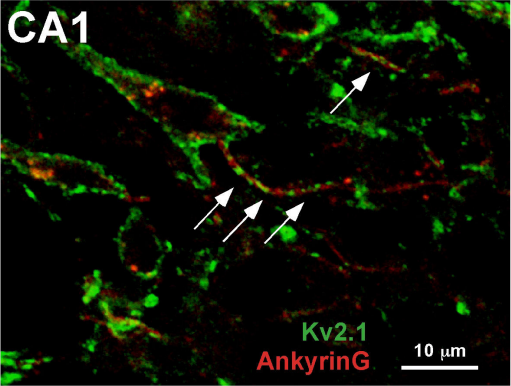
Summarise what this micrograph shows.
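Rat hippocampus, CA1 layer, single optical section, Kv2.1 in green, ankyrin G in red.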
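Green, punctate labelling forms irregular clusters that outline the surfaces of neuronal cell bodies and their thick proximal processes, leaving the cell interiors dark. The cell bodies appear as rounded or elongated dark spaces rimmed by green patches. Thin, fairly straight red processes run out from some of these cell bodies for a long stretch; along them small green puncta lie interspersed, so that parts of these segments appear yellow-orange where the two colours overlap. Background between the cells is dark with scattered green and red dots.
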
